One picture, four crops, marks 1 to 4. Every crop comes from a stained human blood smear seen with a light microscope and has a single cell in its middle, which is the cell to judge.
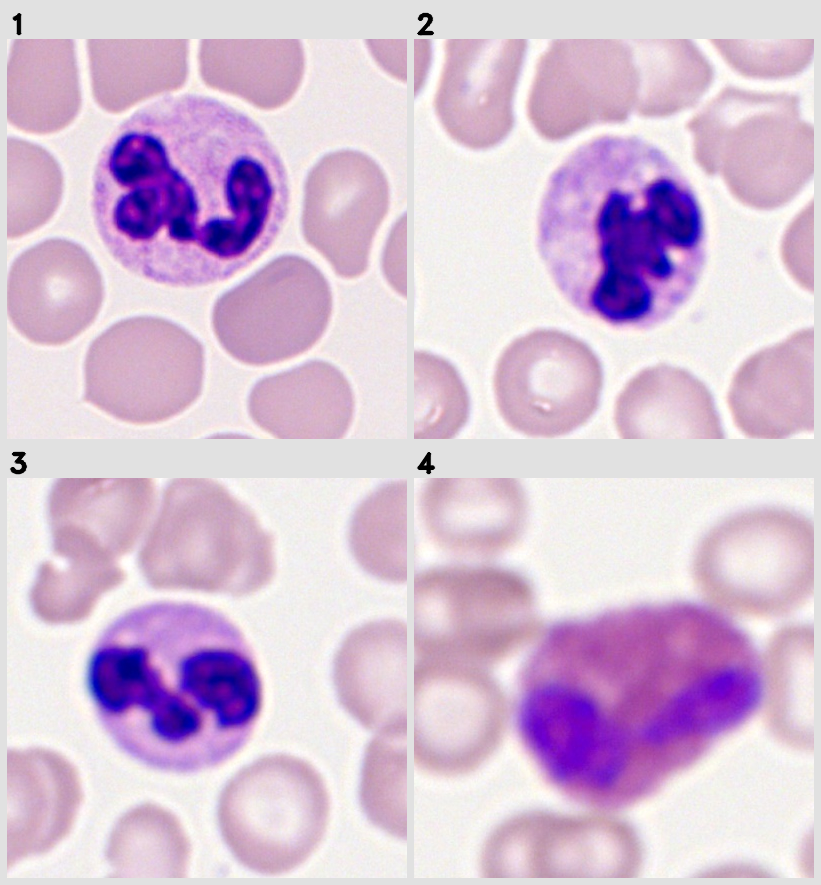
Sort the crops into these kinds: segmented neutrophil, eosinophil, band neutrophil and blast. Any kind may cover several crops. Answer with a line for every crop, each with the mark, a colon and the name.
1: segmented neutrophil
2: segmented neutrophil
3: segmented neutrophil
4: eosinophil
